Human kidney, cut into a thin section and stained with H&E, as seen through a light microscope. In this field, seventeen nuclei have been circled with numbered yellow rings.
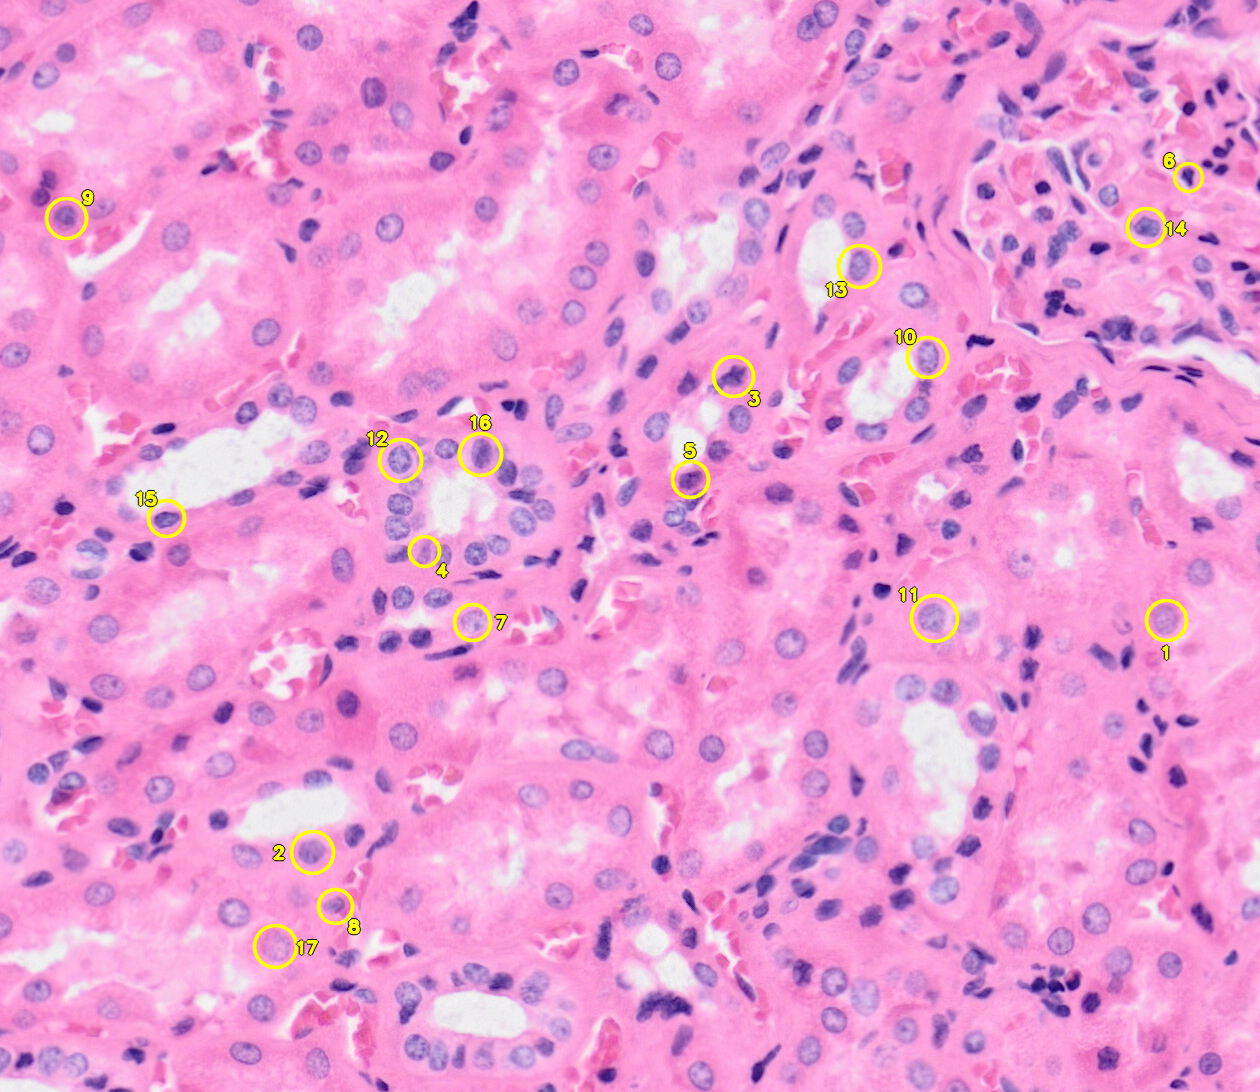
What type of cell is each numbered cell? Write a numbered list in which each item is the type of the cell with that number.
1. proximal tubule cell
2. loop of Henle or distal tubule cell
3. loop of Henle or distal tubule cell
4. collecting duct cell
5. loop of Henle or distal tubule cell
6. endothelial cell
7. loop of Henle or distal tubule cell
8. endothelial cell
9. proximal tubule cell
10. loop of Henle or distal tubule cell
11. loop of Henle or distal tubule cell
12. collecting duct cell
13. loop of Henle or distal tubule cell
14. endothelial cell
15. loop of Henle or distal tubule cell
16. collecting duct cell
17. proximal tubule cell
